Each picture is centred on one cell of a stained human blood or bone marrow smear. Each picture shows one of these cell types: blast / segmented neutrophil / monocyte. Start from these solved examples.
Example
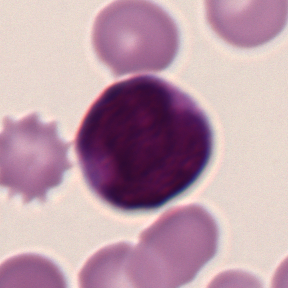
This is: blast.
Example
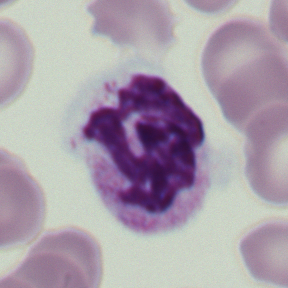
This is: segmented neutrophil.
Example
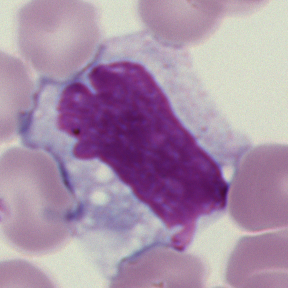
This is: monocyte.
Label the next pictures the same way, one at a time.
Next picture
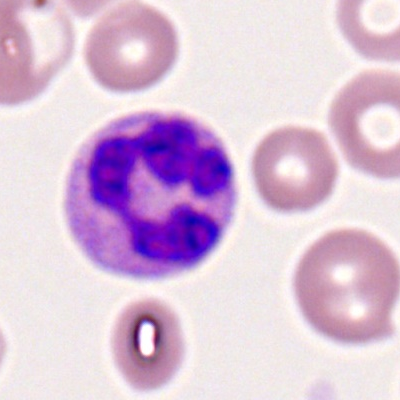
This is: segmented neutrophil.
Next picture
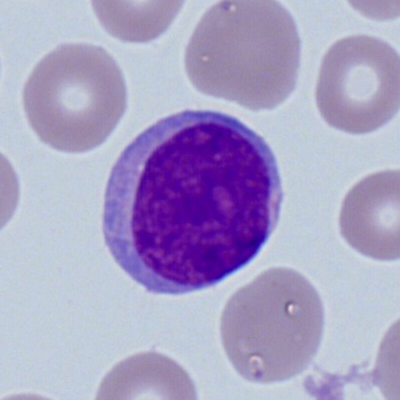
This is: blast.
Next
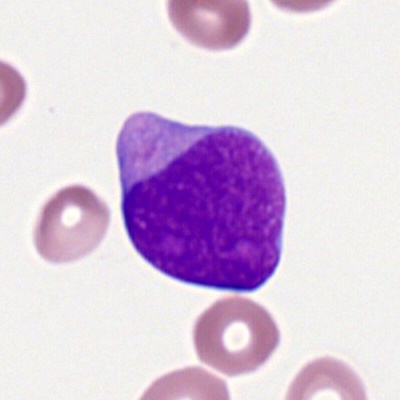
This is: blast.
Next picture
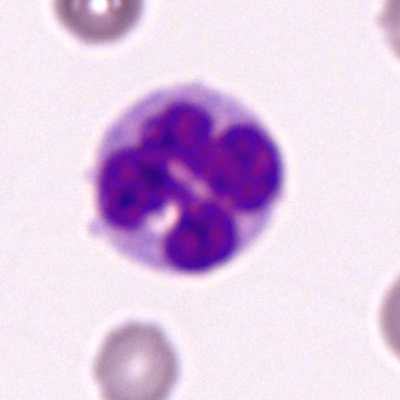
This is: monocyte.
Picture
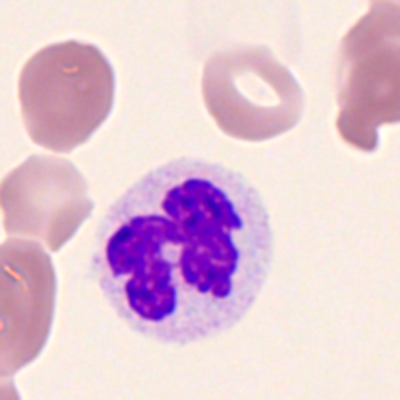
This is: segmented neutrophil.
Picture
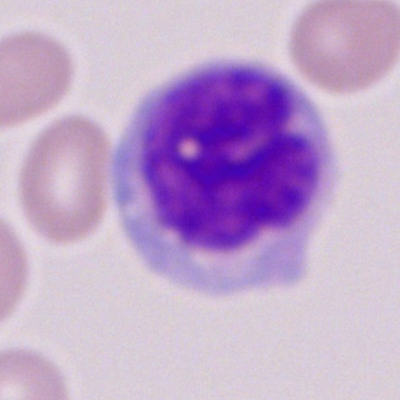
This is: monocyte.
